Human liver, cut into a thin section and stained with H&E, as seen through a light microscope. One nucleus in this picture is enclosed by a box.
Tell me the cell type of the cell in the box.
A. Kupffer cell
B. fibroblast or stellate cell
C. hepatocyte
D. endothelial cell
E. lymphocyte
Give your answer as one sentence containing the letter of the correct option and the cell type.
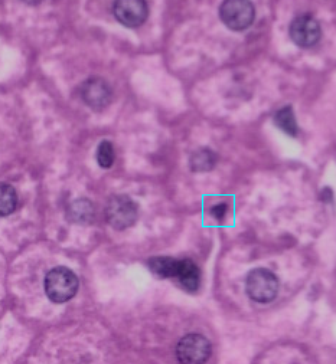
The correct option, B, describes the cell in the box as a fibroblast or stellate cell.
